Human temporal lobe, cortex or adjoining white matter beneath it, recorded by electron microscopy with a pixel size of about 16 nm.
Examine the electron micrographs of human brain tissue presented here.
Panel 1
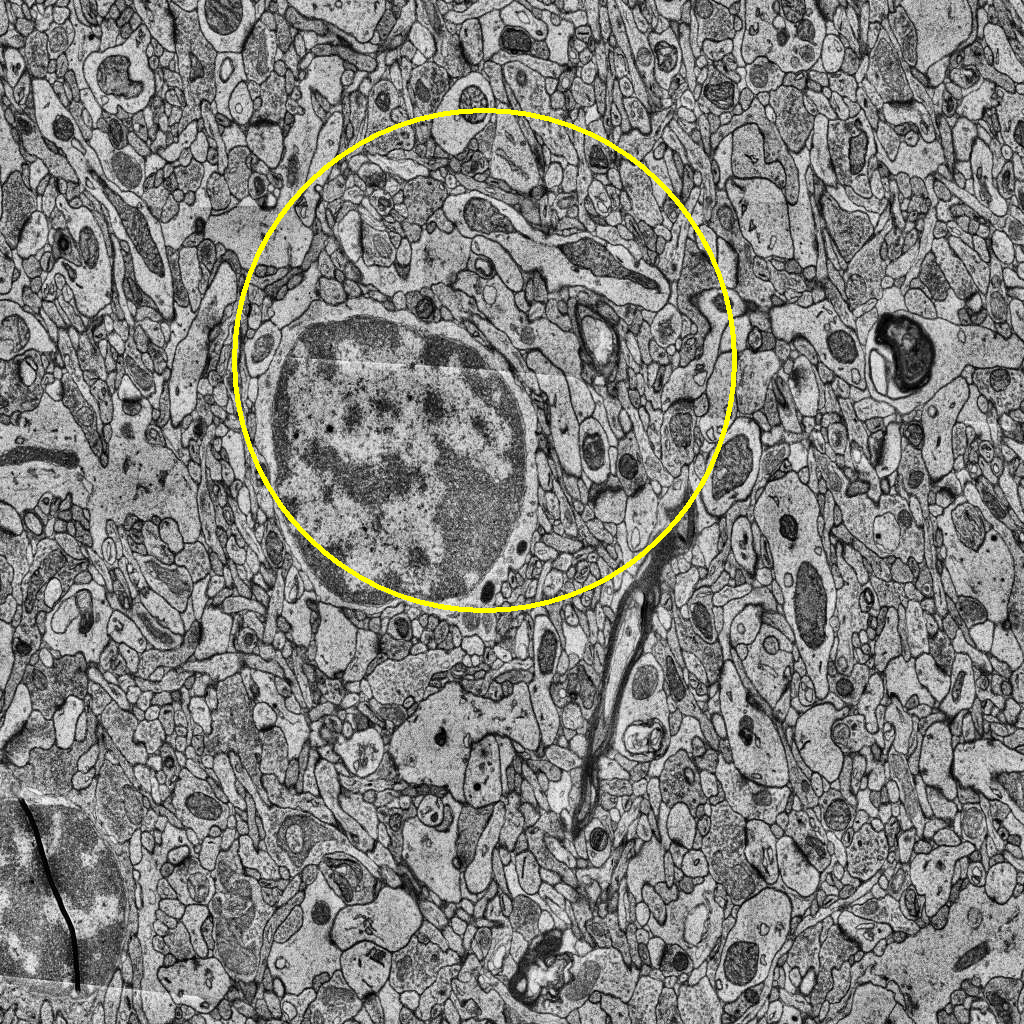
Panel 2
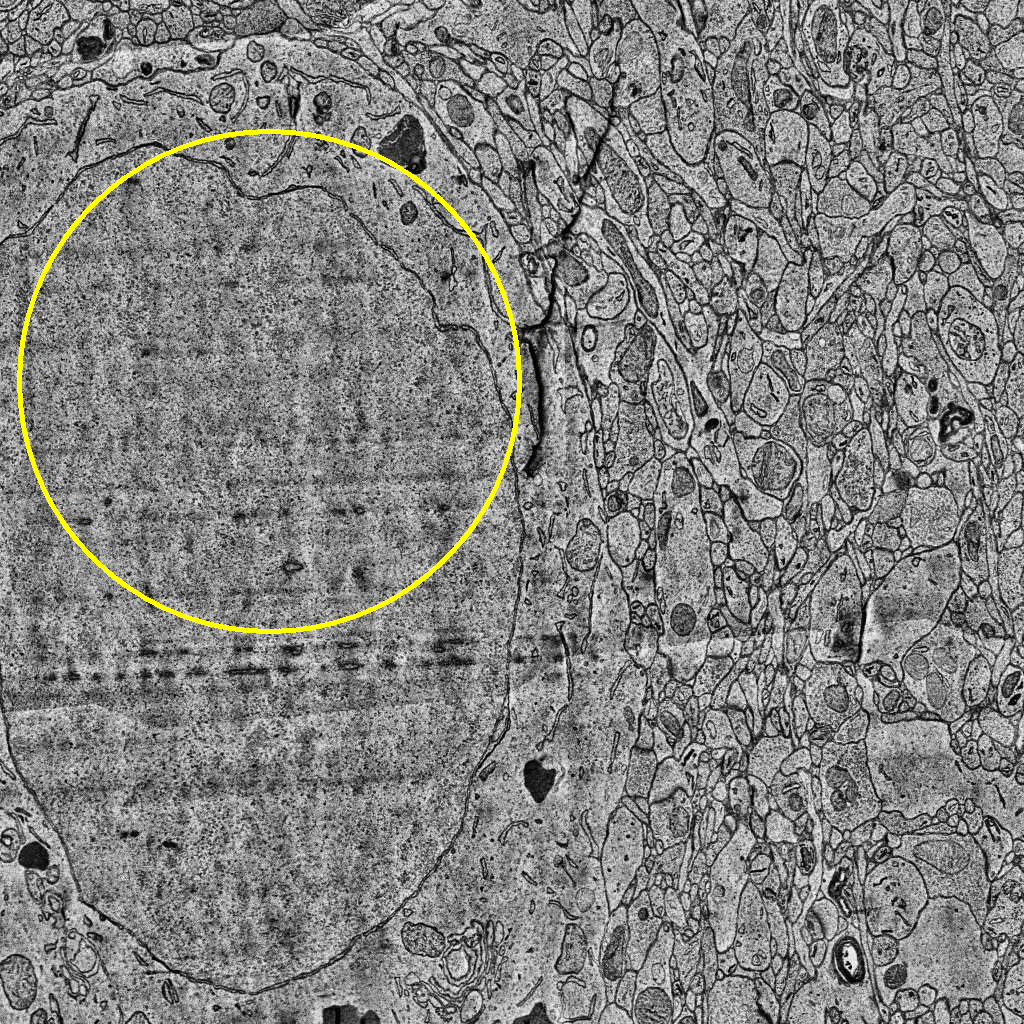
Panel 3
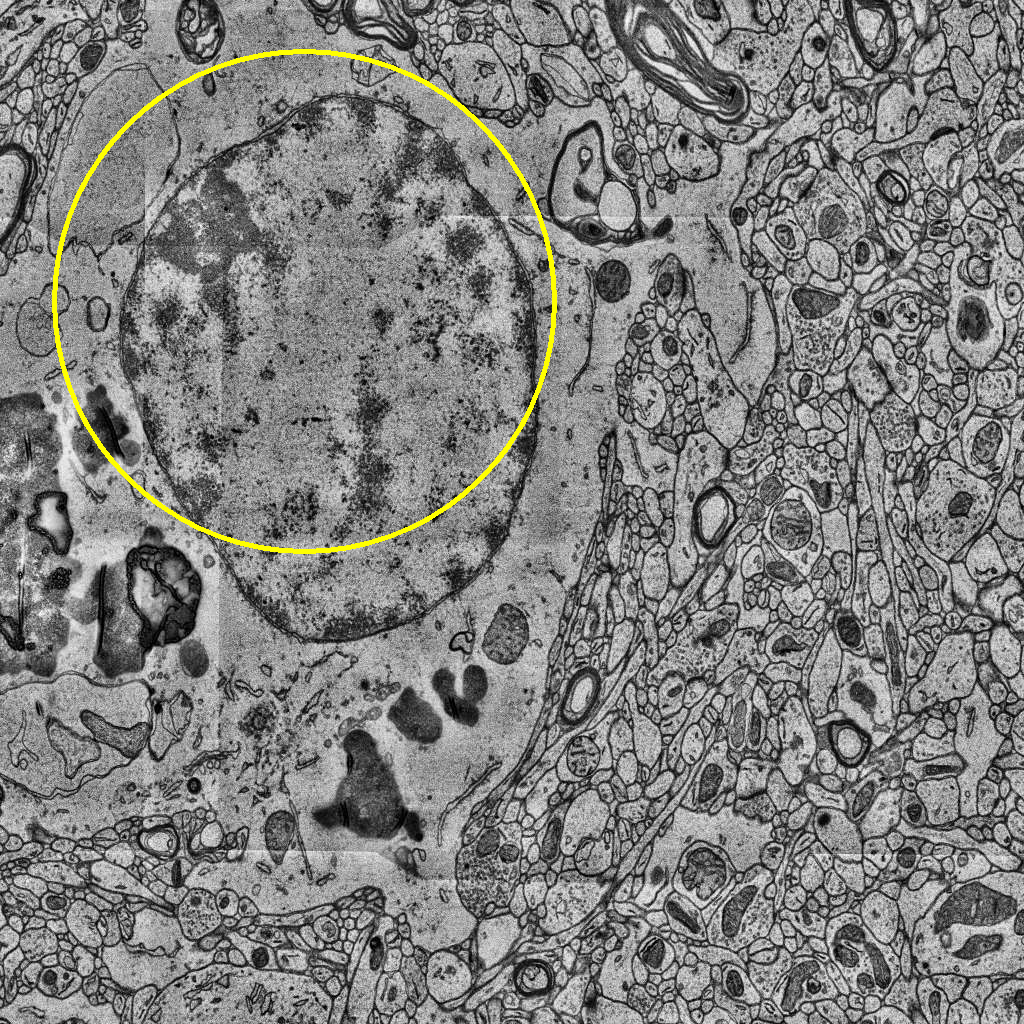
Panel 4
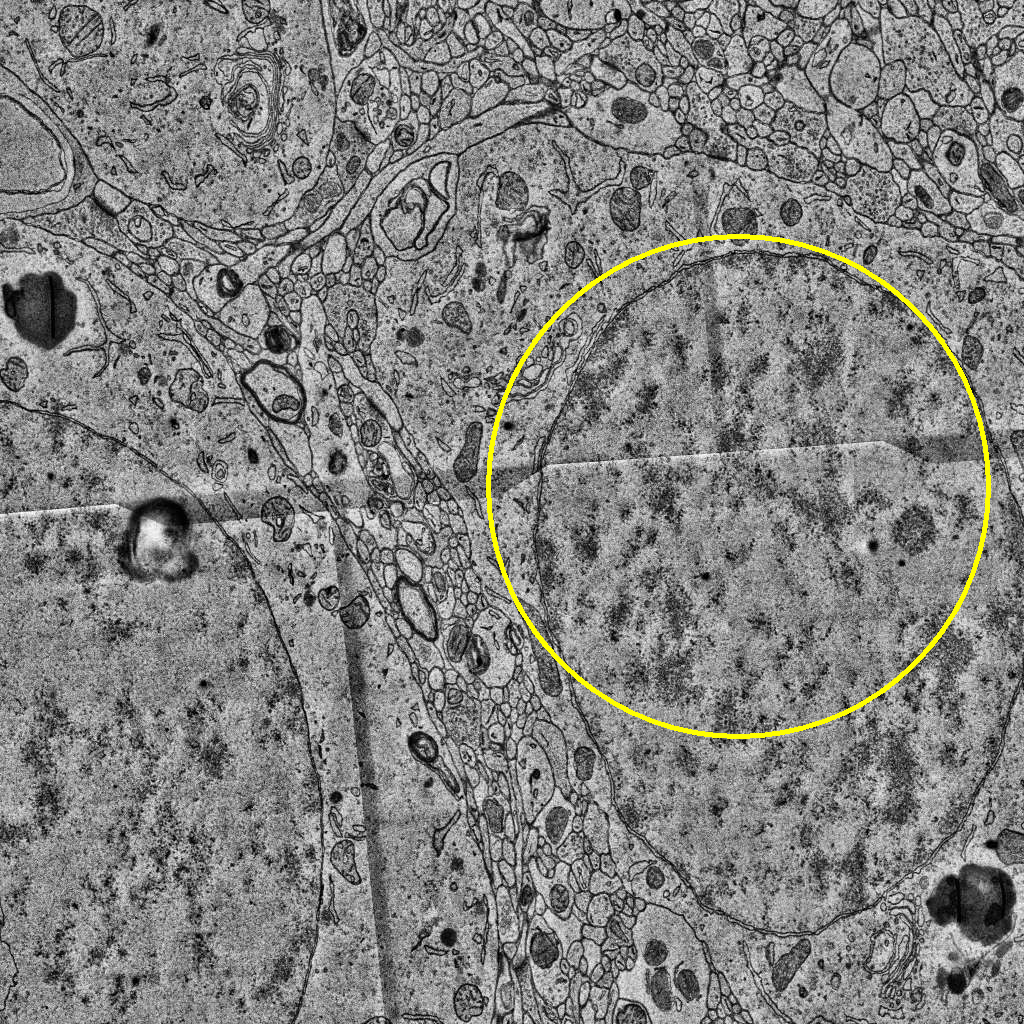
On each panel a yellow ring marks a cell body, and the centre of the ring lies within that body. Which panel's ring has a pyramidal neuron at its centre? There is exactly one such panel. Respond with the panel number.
2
